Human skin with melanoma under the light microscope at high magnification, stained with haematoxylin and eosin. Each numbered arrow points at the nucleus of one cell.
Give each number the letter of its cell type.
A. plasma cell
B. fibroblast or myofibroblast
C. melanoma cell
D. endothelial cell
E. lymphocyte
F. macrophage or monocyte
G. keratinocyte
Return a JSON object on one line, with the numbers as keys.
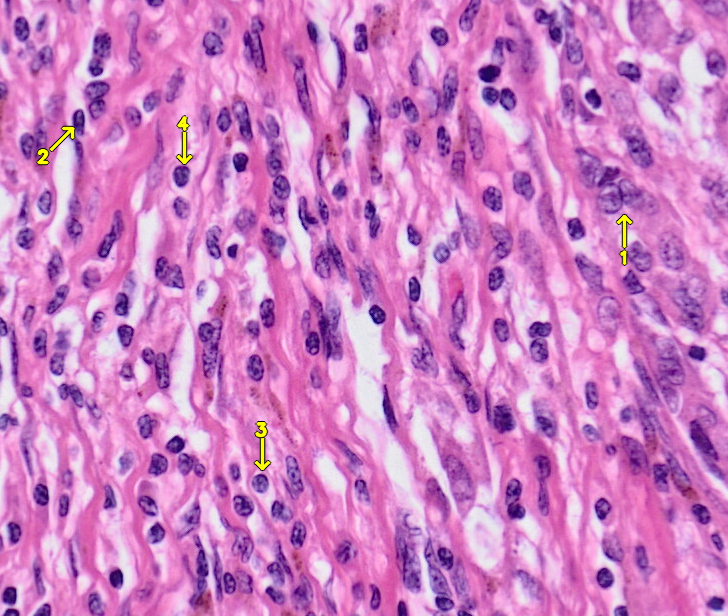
{"1": "C", "2": "E", "3": "E", "4": "E"}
